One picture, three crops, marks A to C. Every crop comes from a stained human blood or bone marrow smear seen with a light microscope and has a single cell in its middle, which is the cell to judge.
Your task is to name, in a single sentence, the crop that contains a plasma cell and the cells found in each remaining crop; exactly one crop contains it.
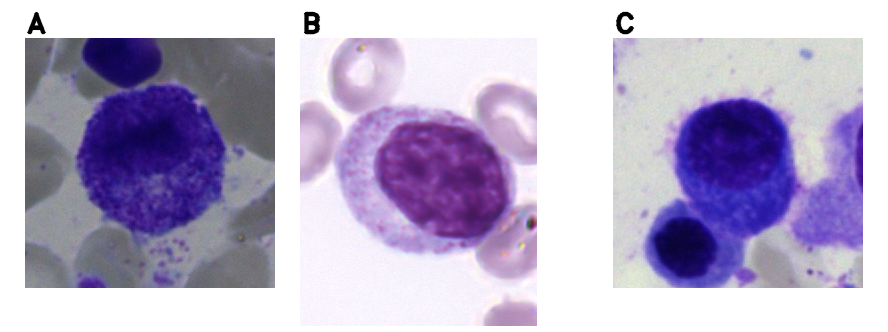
On inspection, crop C shows a plasma cell, while crop A is a promyelocyte and crop B is a myelocyte.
